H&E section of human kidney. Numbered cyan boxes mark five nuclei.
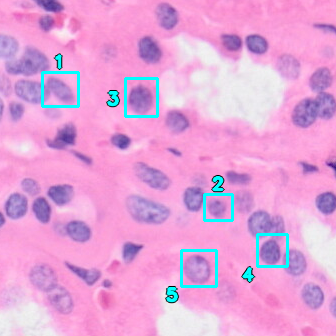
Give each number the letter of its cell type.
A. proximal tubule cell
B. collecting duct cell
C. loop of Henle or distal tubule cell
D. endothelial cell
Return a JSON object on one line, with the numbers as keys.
{"1": "B", "2": "B", "3": "C", "4": "B", "5": "A"}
